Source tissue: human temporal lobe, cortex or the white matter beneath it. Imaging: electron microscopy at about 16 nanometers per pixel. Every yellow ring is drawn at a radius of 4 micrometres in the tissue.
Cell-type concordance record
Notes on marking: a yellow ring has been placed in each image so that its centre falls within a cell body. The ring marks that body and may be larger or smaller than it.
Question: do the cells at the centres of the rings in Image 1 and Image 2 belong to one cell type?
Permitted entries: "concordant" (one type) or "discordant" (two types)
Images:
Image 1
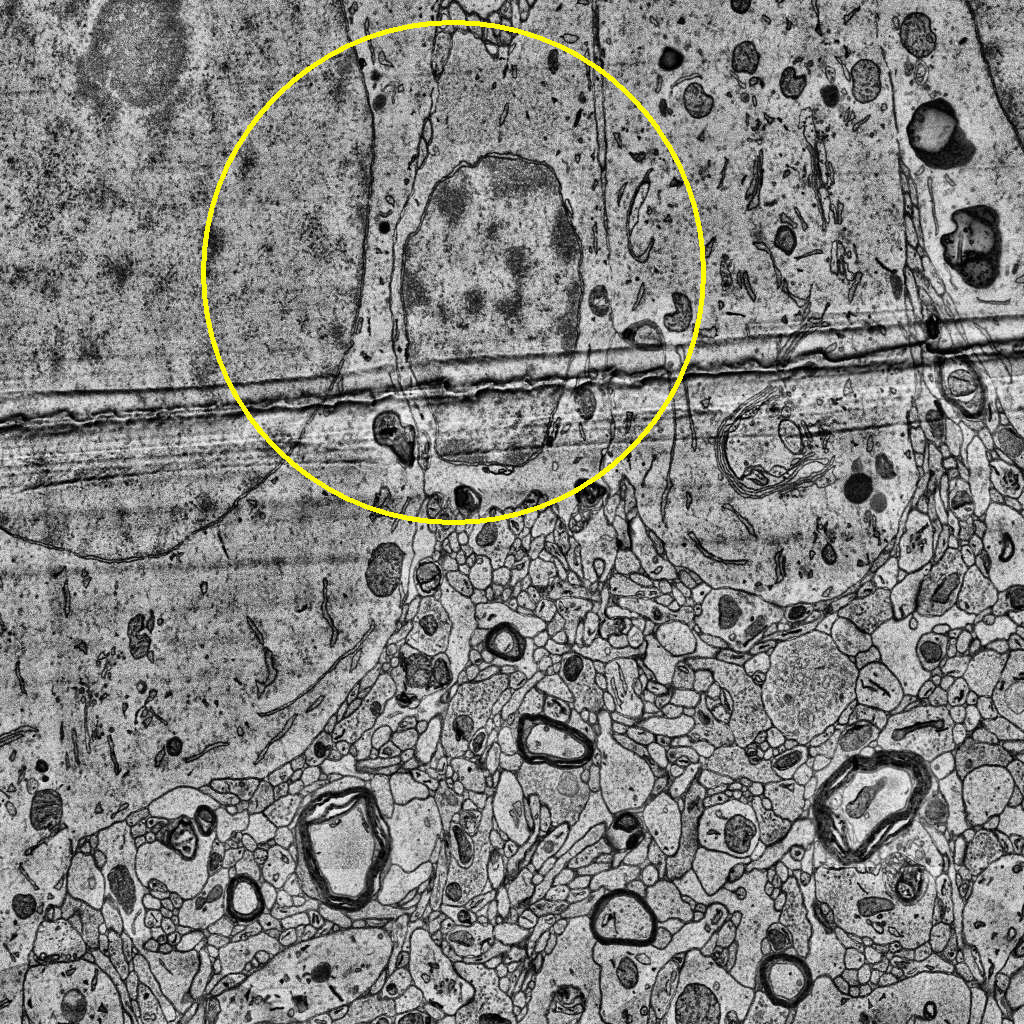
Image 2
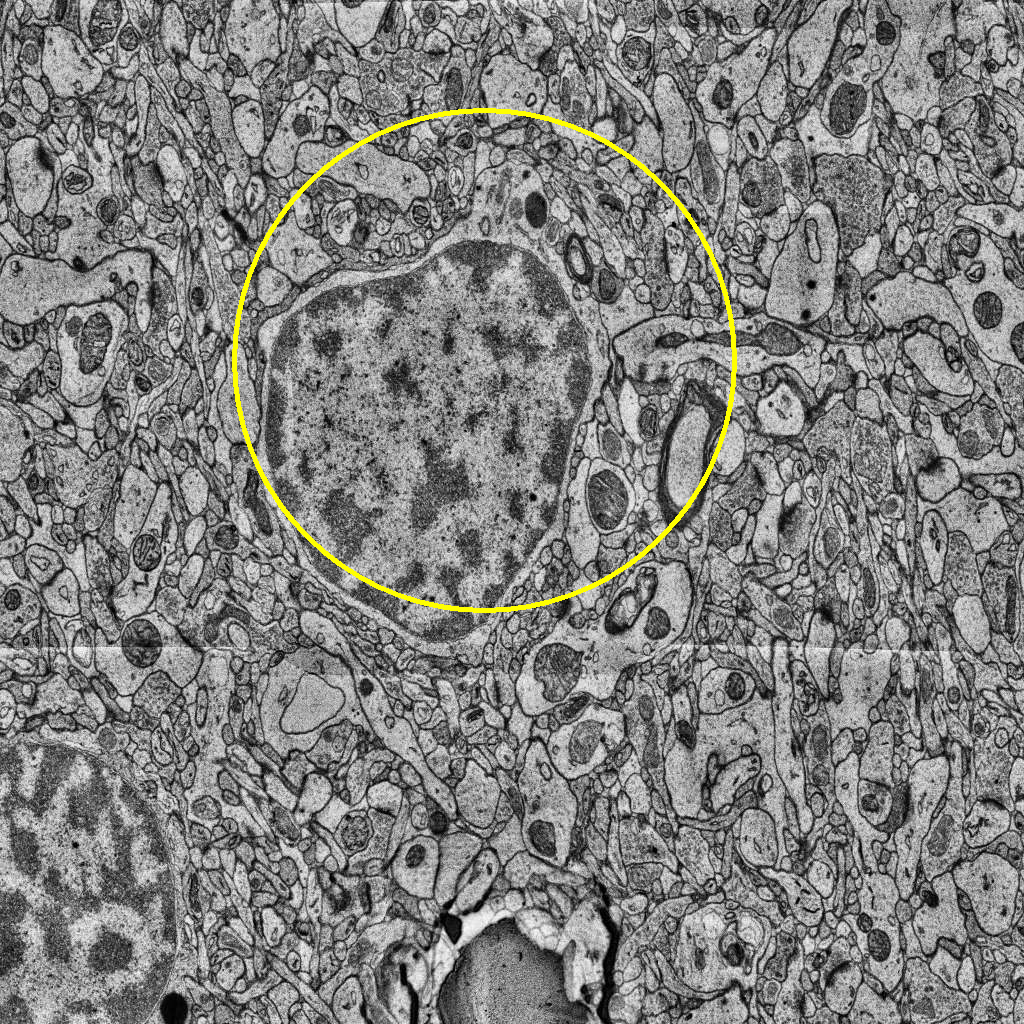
concordant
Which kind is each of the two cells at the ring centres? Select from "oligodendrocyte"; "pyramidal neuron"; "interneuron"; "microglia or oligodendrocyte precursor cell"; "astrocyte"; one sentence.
The ring centre holds a microglial cell or oligodendrocyte precursor cell in each of the two pictures.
